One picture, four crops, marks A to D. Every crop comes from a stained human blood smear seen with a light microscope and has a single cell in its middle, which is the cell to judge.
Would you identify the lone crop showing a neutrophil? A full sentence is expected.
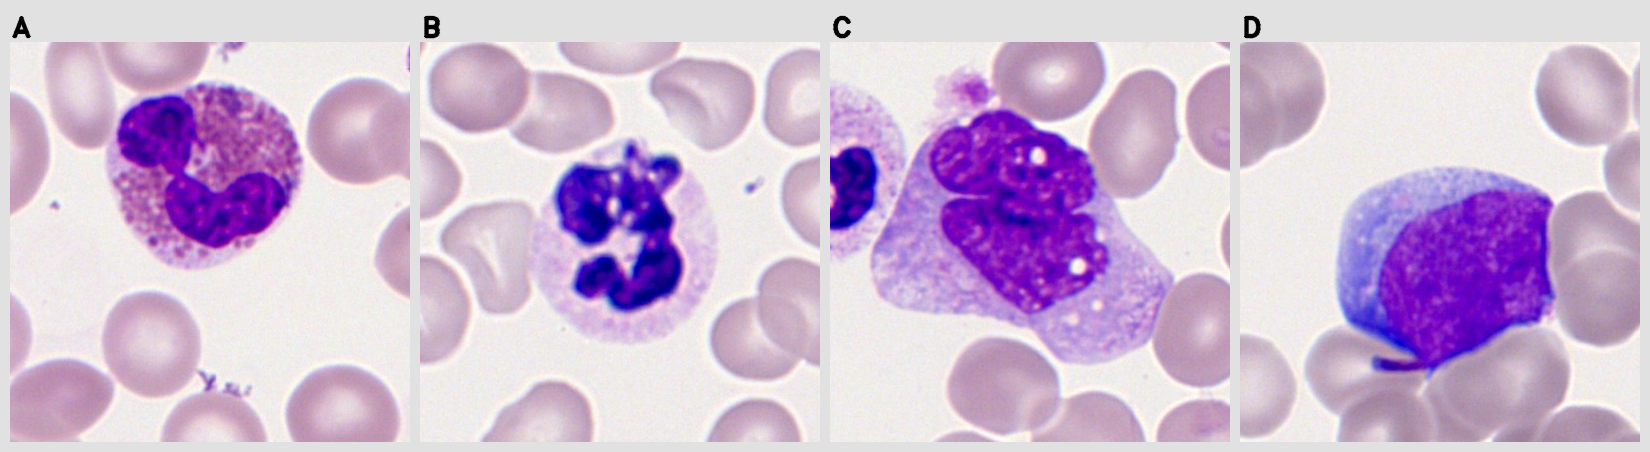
The cell identified as a neutrophil is the one in crop B.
